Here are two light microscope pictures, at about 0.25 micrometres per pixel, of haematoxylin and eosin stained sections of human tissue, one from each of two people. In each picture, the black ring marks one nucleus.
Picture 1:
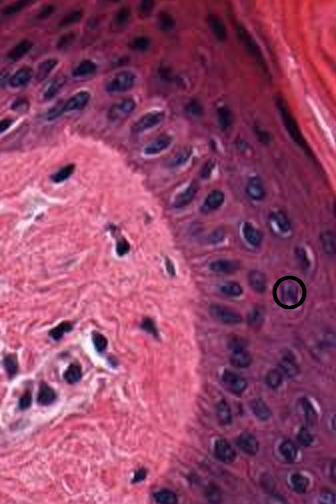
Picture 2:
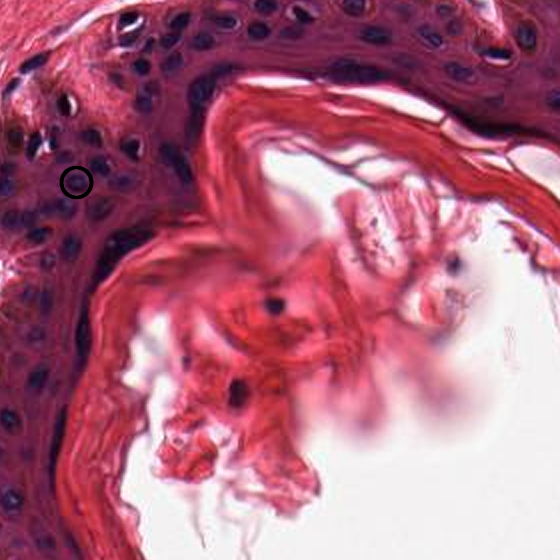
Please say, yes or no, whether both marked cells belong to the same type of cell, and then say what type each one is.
Yes, both are keratinocytes.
